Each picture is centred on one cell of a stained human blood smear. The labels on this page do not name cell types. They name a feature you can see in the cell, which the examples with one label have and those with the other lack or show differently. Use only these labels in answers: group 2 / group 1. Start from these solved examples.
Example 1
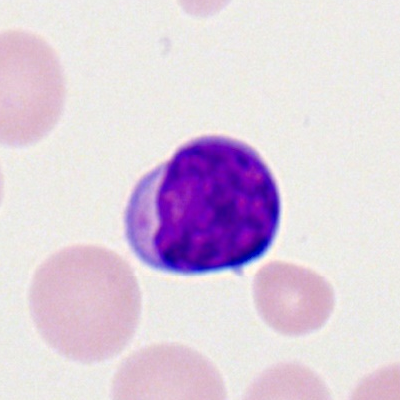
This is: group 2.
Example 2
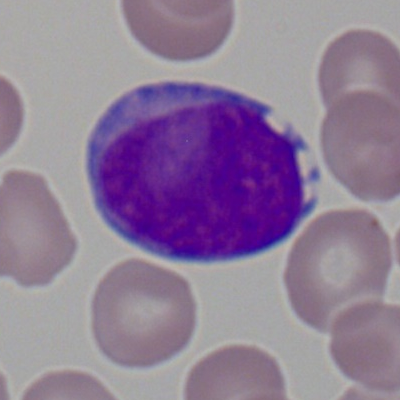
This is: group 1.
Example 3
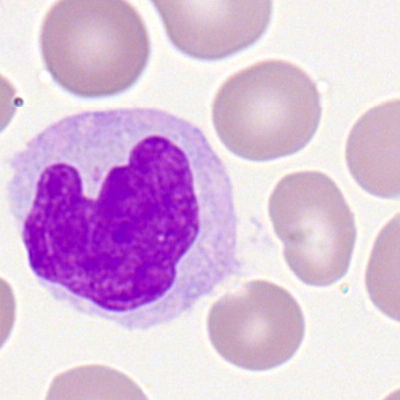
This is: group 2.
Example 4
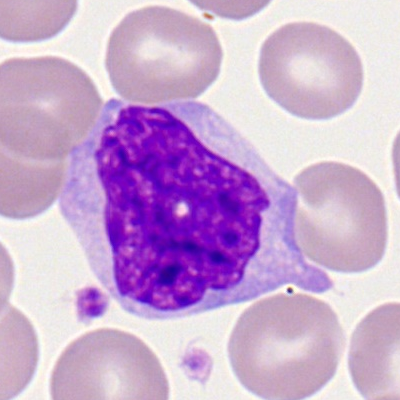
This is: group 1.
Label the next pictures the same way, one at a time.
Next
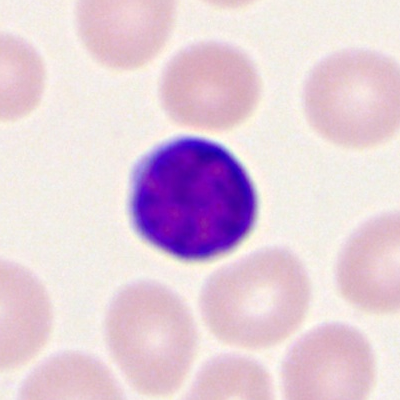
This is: group 2.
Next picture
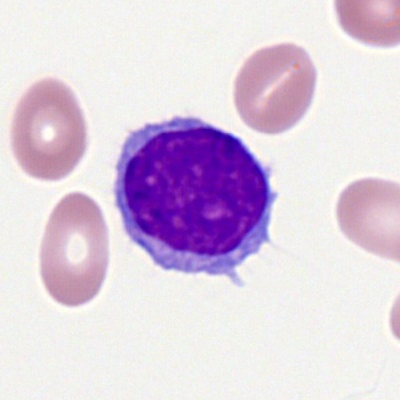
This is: group 1.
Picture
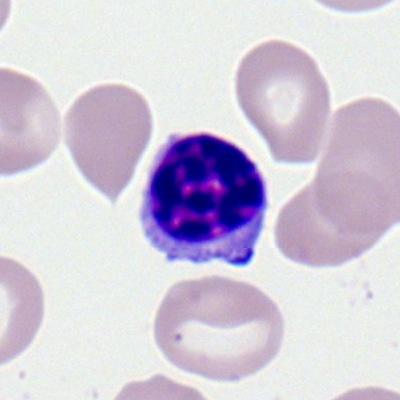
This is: group 1.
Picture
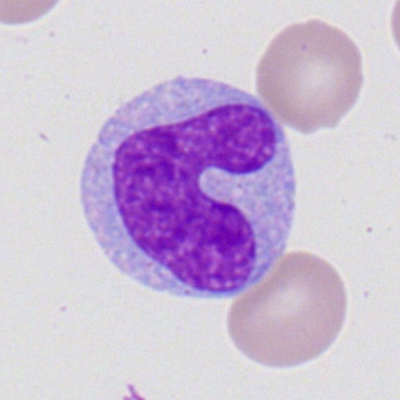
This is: group 2.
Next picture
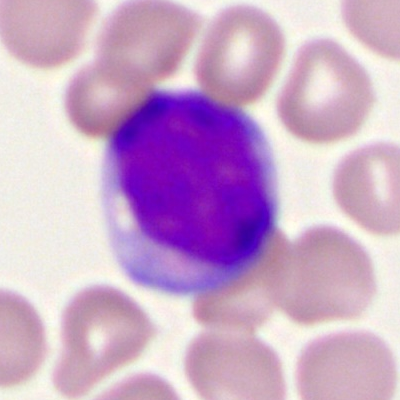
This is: group 2.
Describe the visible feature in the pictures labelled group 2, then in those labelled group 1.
group 2: smooth outline; group 1: ragged outline or projections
